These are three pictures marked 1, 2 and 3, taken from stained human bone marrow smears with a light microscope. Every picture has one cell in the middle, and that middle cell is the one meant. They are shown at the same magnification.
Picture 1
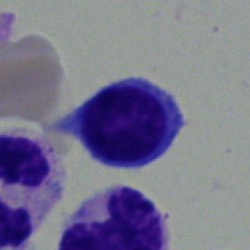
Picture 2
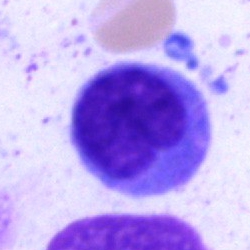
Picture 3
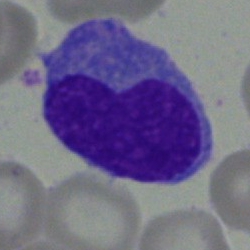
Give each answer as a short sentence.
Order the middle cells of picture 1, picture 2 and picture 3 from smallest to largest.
The order is 1, 2, 3, beginning with the smallest.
